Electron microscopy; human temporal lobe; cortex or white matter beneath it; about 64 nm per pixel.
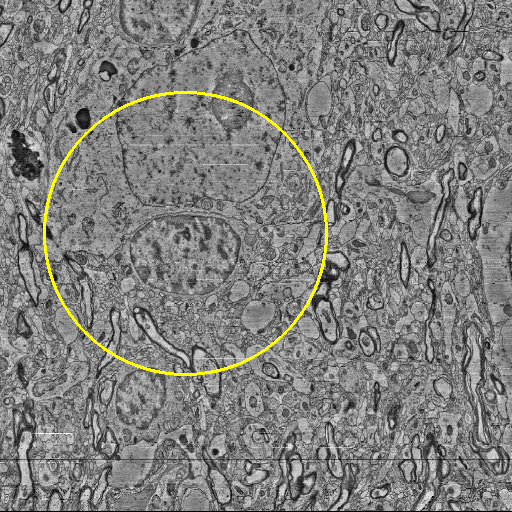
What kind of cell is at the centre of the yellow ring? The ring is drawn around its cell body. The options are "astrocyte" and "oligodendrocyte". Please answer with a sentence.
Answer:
The yellow ring marks the cell body of an oligodendrocyte.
